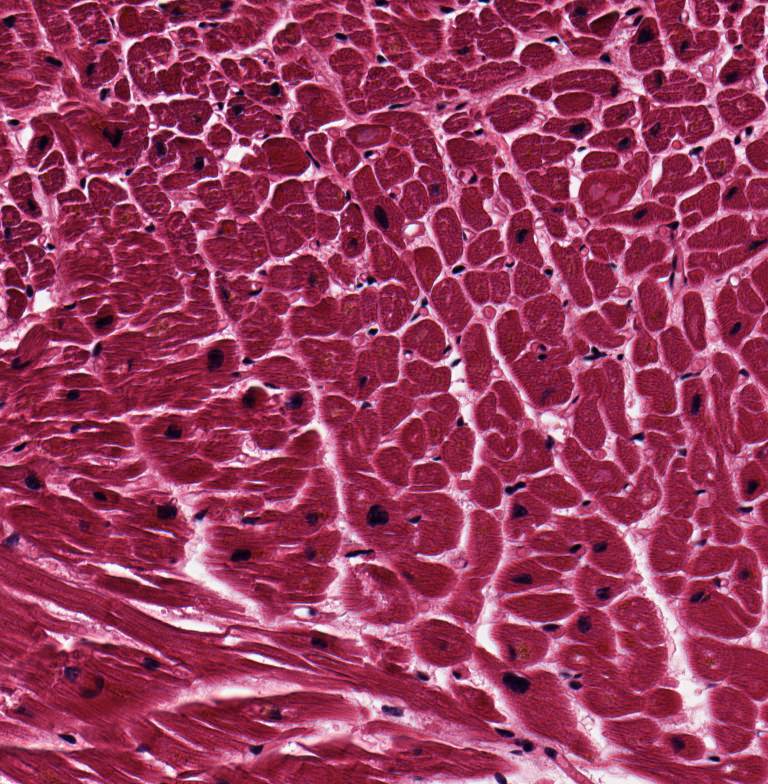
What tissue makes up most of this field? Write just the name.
myocardium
